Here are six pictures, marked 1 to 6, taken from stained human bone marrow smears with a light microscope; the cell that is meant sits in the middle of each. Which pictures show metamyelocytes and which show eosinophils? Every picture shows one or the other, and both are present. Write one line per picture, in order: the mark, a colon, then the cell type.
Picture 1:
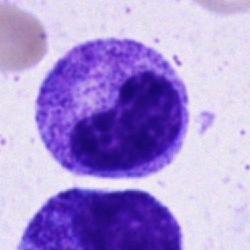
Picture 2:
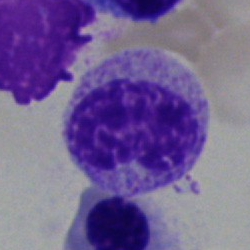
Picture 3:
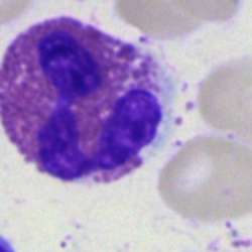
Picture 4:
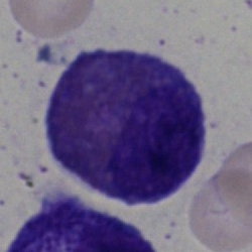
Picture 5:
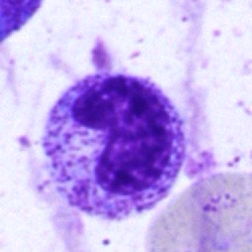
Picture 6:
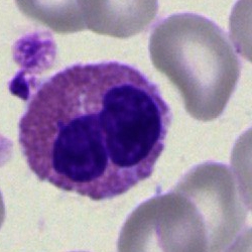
1: metamyelocyte
2: metamyelocyte
3: eosinophil
4: eosinophil
5: metamyelocyte
6: eosinophil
